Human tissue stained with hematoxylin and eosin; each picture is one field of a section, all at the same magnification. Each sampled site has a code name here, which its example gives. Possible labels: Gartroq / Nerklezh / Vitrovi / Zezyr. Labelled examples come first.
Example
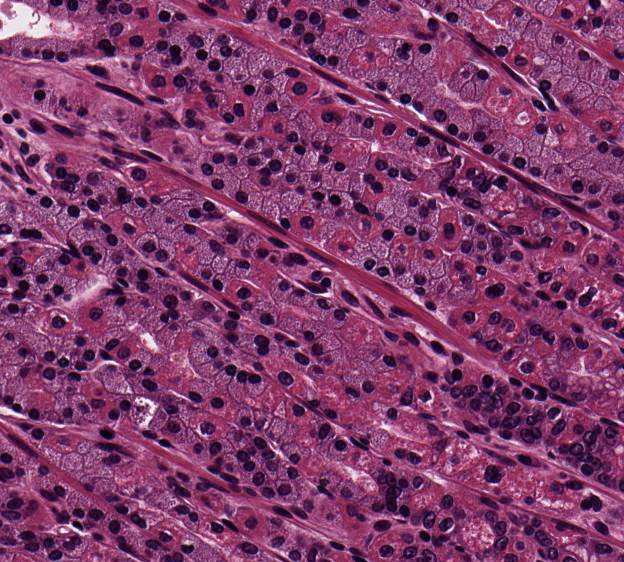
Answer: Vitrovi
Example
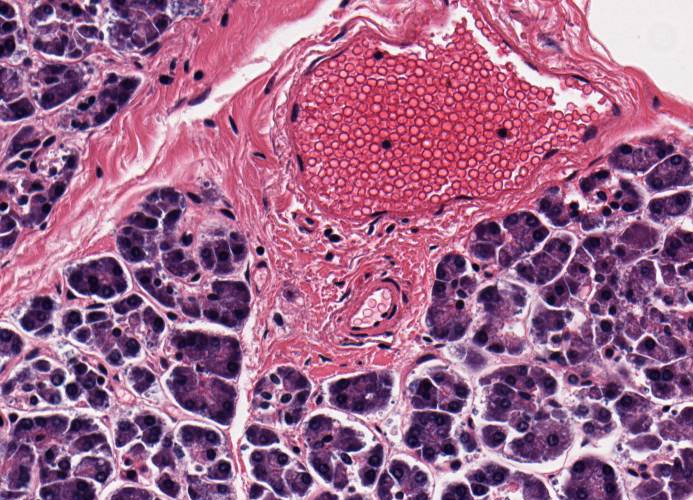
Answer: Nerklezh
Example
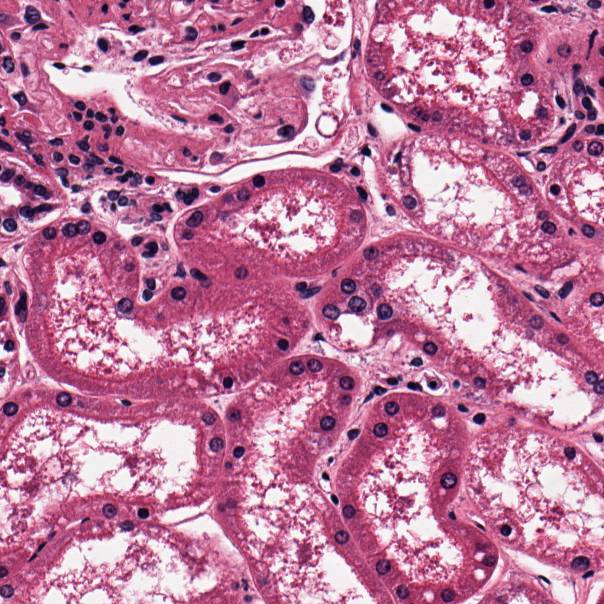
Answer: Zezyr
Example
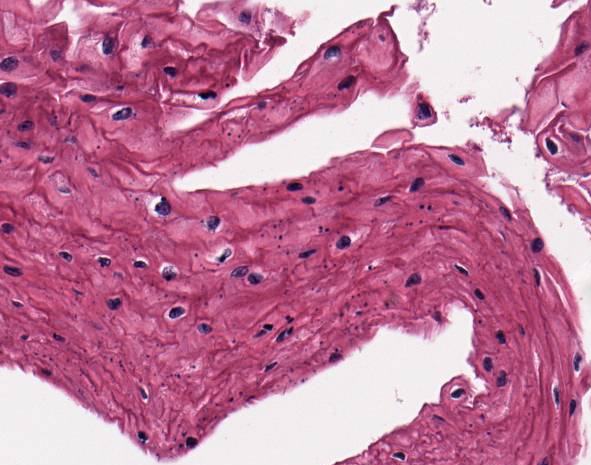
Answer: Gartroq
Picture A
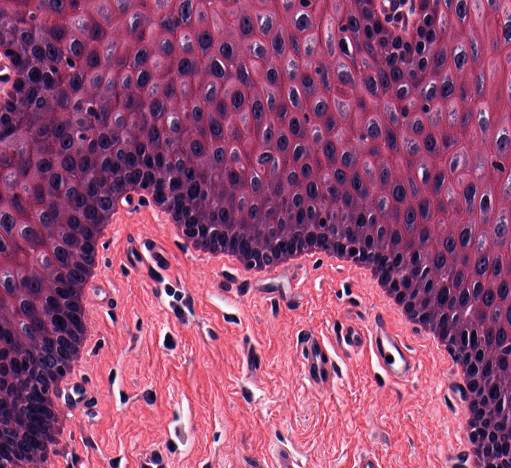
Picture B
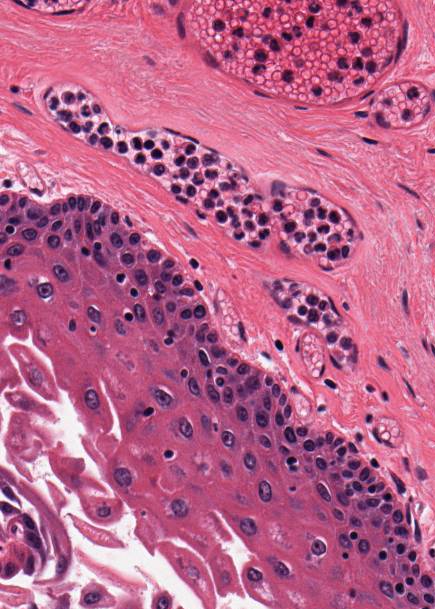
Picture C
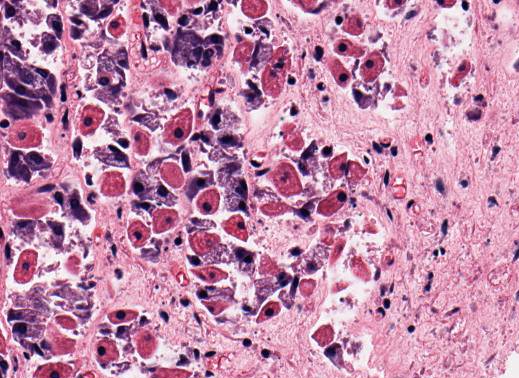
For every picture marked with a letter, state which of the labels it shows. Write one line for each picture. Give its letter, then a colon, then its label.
A: Gartroq
B: Gartroq
C: Vitrovi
